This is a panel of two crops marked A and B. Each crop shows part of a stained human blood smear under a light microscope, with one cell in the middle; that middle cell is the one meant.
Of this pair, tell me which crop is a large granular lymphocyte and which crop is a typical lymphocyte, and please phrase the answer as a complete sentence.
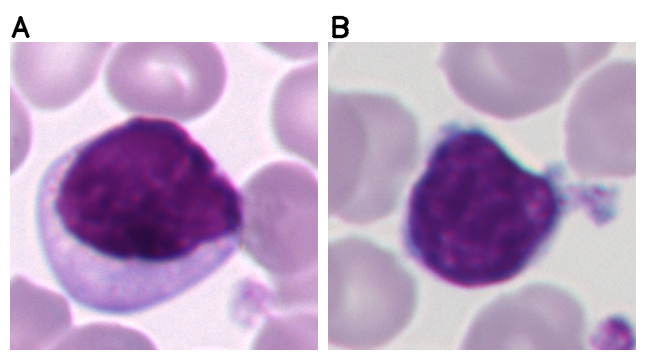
Crop A shows a large granular lymphocyte, whereas crop B shows a typical lymphocyte.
